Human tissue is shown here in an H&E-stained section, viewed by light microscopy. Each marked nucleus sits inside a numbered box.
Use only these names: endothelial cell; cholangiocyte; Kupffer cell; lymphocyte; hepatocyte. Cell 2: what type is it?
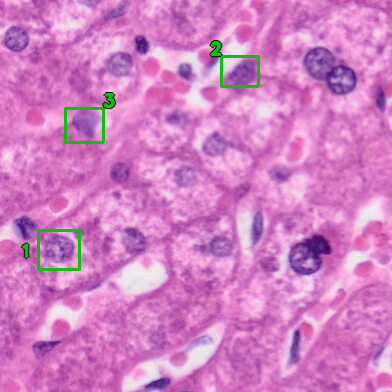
Kupffer cell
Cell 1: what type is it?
hepatocyte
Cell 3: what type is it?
endothelial cell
